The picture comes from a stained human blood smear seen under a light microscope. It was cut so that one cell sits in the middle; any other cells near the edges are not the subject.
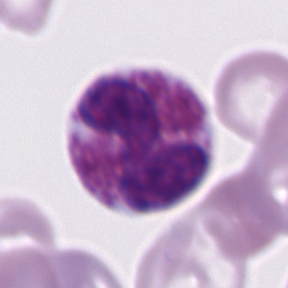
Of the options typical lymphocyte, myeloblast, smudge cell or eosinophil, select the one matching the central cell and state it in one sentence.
The cell in the middle of this crop is an eosinophil.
